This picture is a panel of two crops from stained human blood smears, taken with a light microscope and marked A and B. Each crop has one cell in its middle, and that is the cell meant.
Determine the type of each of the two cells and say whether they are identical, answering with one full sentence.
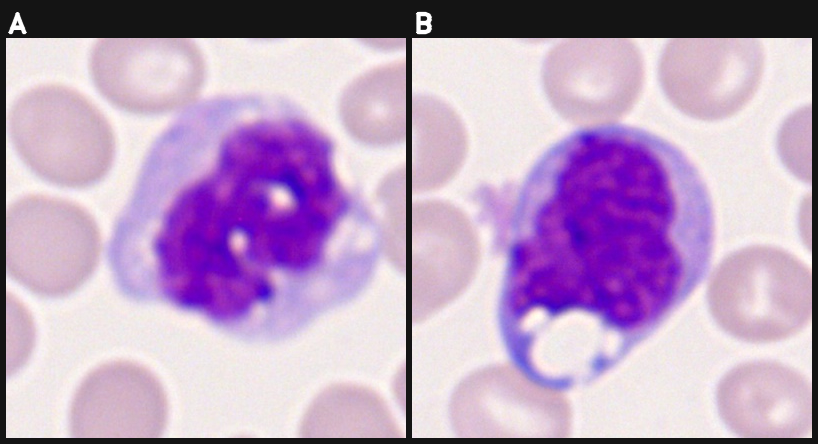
Yes, the centred cells are monocytes in both crops.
